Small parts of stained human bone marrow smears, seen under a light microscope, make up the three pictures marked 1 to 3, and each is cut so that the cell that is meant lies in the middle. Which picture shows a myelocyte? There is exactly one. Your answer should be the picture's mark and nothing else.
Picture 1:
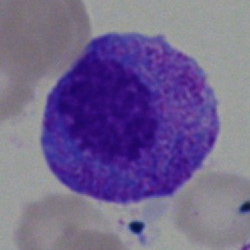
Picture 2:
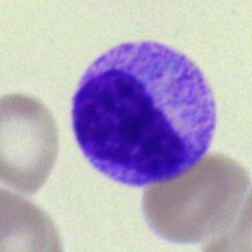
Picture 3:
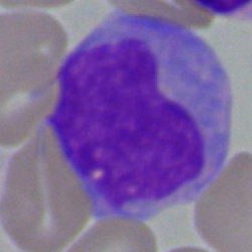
2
